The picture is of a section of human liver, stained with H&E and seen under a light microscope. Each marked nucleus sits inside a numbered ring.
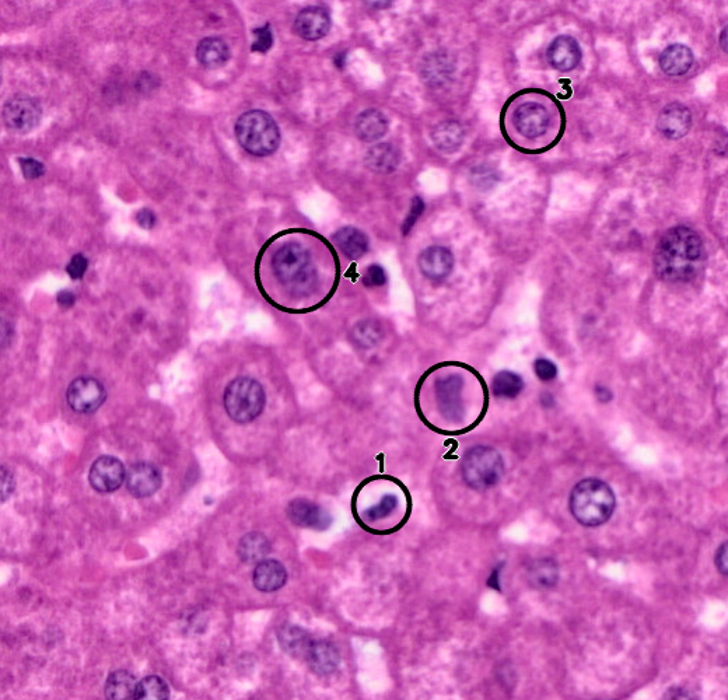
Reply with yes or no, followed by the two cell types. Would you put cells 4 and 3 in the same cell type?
Yes, in the case of cells 4 and 3, both are hepatocytes.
